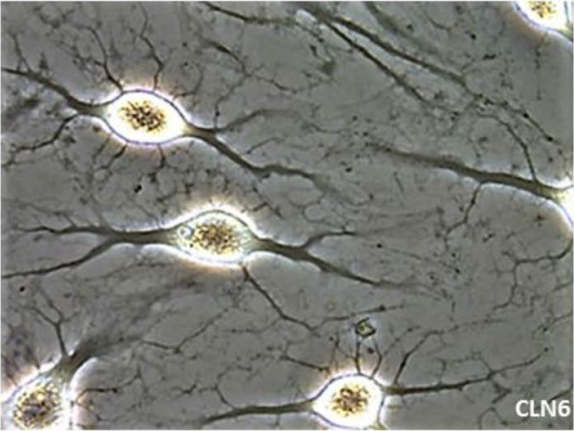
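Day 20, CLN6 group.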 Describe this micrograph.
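Neuronal-like cells with oval, phase-bright cell bodies containing granular, yellowish-brown cytoplasm. Each cell body gives off several long, slender processes that branch and run across the field toward neighbouring cells, forming a loose network over a flat background layer.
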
